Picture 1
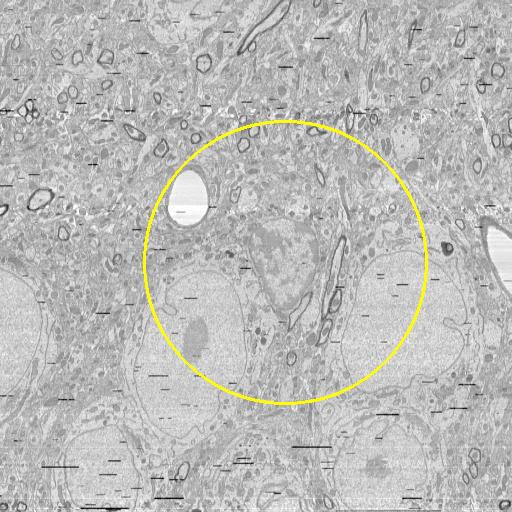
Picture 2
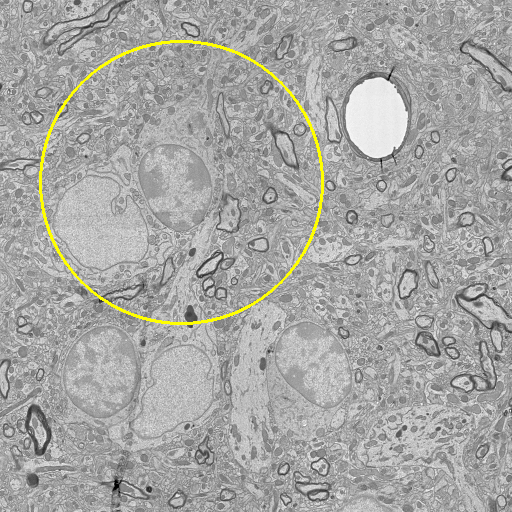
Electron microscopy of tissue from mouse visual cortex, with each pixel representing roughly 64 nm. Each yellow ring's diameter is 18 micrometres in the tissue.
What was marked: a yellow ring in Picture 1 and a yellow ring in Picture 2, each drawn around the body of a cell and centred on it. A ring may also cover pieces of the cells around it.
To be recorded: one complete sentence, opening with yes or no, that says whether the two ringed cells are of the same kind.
Yes, the two ringed cells are of the same kind.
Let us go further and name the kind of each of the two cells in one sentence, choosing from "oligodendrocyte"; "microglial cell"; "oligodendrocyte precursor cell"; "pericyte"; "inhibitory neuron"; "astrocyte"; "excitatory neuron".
In each of the two pictures, the ringed cell is an oligodendrocyte.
